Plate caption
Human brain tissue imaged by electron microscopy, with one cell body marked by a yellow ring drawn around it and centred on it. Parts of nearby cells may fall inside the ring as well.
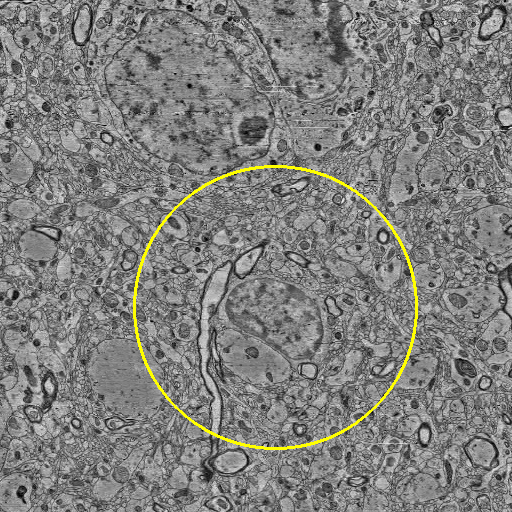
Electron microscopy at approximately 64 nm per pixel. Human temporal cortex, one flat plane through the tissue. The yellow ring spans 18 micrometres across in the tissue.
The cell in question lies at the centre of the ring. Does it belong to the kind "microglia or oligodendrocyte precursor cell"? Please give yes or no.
No, it belongs to another kind.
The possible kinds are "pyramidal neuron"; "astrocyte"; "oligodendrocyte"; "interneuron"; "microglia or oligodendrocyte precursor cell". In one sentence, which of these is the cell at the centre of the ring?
The cell at the middle of the ring is an oligodendrocyte.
